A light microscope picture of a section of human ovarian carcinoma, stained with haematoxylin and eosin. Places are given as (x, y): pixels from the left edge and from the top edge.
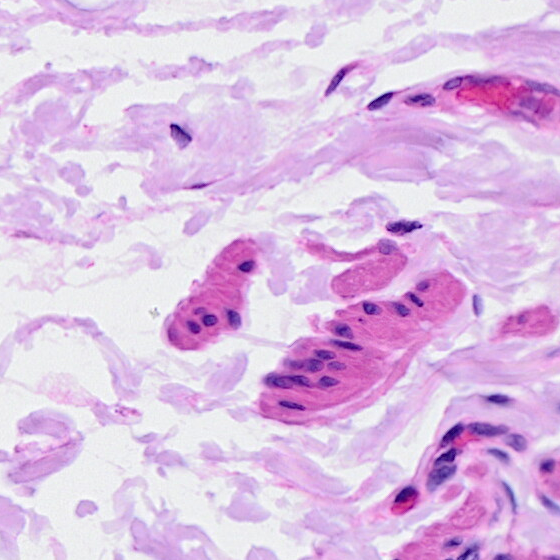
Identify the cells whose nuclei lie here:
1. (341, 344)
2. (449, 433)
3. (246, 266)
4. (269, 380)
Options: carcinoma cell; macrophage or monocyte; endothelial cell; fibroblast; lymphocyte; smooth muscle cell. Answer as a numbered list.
1. smooth muscle cell
2. endothelial cell
3. smooth muscle cell
4. smooth muscle cell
